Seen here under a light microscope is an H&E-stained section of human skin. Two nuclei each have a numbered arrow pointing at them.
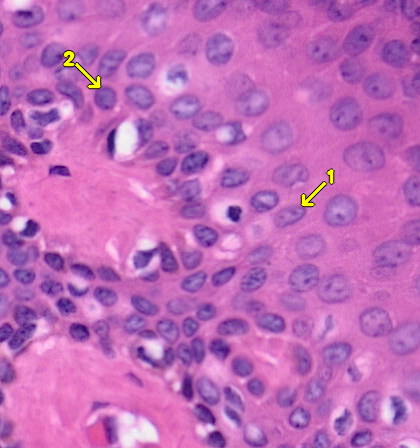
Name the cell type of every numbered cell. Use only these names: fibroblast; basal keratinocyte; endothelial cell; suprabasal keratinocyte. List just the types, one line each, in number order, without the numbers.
suprabasal keratinocyte
basal keratinocyte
